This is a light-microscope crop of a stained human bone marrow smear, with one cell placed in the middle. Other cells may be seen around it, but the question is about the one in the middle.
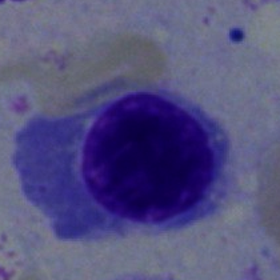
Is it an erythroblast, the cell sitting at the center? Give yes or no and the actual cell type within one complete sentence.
Yes, the cell that occupies the centre is an erythroblast.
